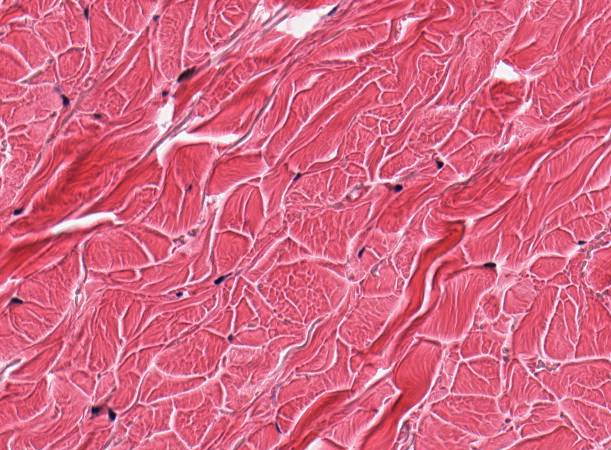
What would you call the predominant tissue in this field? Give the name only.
dermis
